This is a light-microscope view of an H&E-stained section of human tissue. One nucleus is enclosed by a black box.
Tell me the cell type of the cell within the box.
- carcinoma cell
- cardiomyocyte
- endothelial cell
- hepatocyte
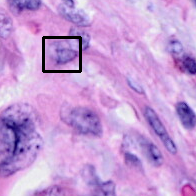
endothelial cell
